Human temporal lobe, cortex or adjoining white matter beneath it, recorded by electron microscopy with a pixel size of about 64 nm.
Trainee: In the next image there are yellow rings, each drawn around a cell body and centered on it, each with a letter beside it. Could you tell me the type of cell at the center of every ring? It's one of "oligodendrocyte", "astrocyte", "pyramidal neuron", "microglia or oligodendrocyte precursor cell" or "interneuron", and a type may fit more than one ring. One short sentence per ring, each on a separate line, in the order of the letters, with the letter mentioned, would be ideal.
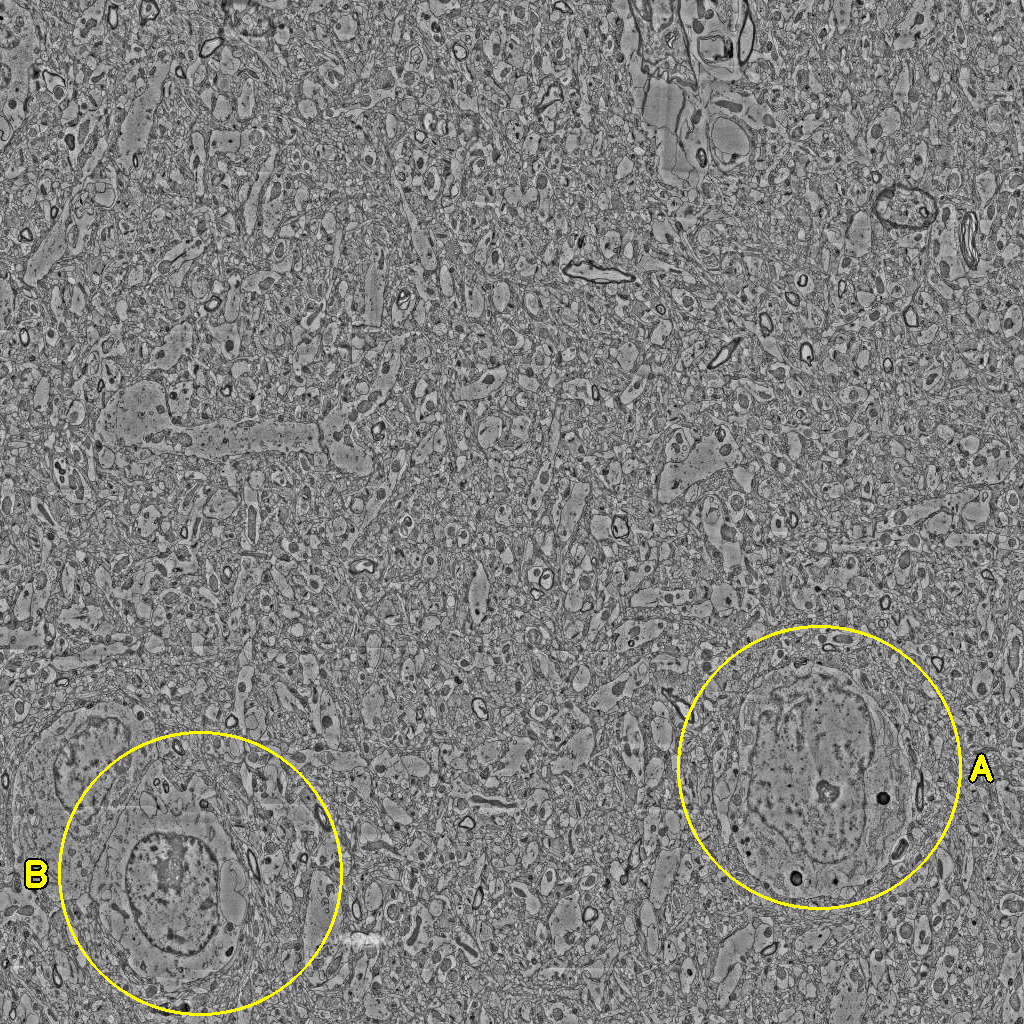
What ring A is centered on is an interneuron.
What ring B is centered on is an astrocyte.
